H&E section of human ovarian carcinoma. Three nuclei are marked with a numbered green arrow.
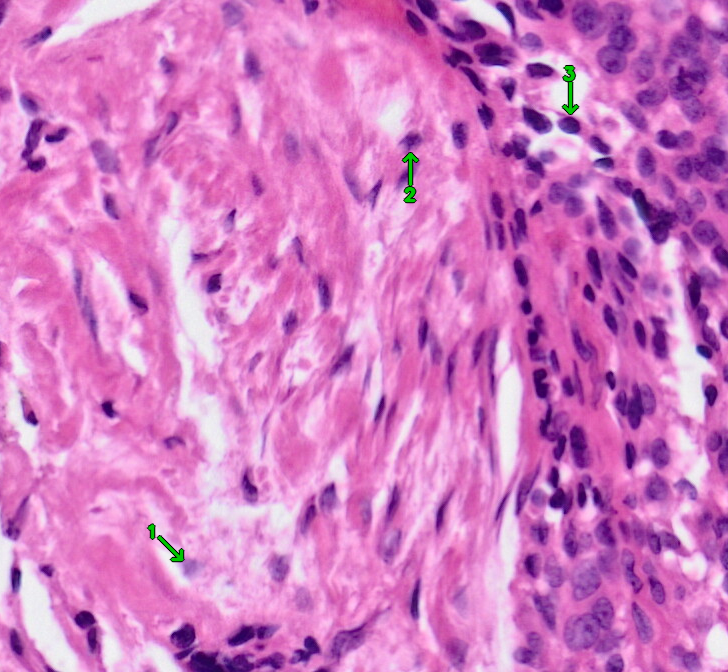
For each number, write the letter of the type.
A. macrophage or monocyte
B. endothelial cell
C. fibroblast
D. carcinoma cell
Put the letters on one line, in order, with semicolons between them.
C; C; D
